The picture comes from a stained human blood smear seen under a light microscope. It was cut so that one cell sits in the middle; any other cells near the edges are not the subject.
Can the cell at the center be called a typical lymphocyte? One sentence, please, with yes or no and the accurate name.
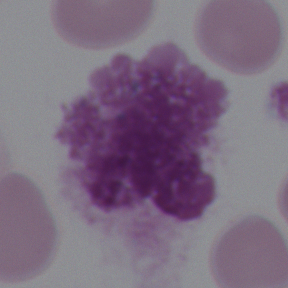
No, the identification should read a smudge cell, not a typical lymphocyte, for the central cell.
